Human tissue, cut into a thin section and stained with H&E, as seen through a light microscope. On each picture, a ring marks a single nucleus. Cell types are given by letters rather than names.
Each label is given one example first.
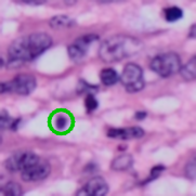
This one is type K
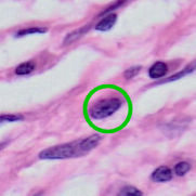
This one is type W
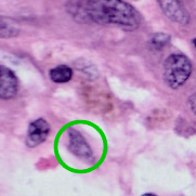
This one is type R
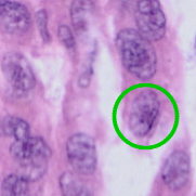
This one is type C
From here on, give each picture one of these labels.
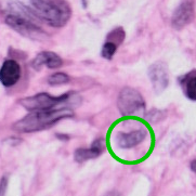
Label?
type R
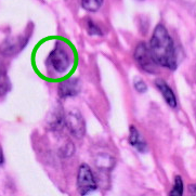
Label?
type C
